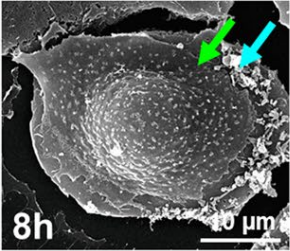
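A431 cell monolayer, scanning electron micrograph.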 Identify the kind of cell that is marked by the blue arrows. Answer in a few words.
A: substrate-attached cells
